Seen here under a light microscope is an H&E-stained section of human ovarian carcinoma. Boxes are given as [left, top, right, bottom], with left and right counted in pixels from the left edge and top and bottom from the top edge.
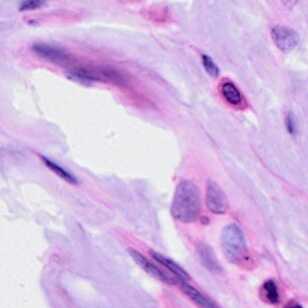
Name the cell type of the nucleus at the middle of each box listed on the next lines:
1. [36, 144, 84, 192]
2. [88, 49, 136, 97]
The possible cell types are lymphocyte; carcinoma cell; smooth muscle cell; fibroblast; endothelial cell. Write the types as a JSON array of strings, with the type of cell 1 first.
["fibroblast", "endothelial cell"]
